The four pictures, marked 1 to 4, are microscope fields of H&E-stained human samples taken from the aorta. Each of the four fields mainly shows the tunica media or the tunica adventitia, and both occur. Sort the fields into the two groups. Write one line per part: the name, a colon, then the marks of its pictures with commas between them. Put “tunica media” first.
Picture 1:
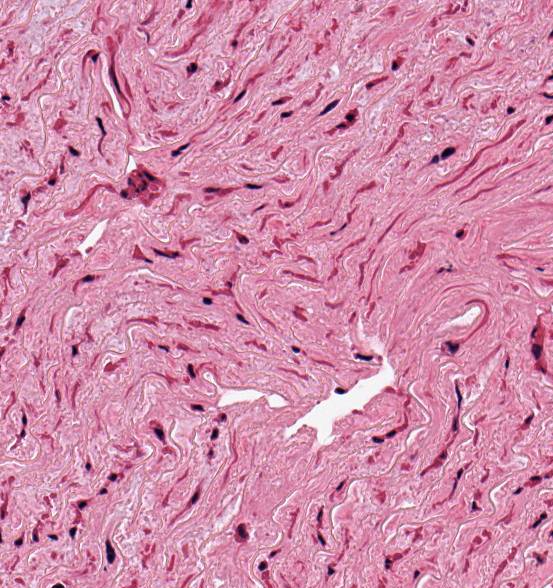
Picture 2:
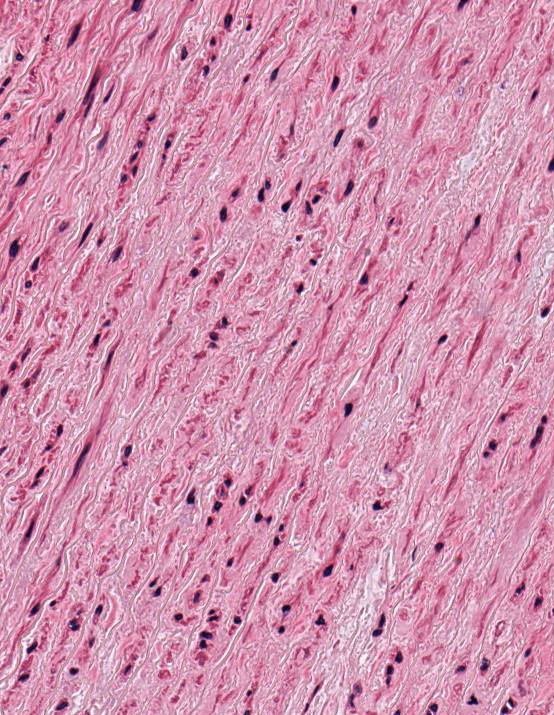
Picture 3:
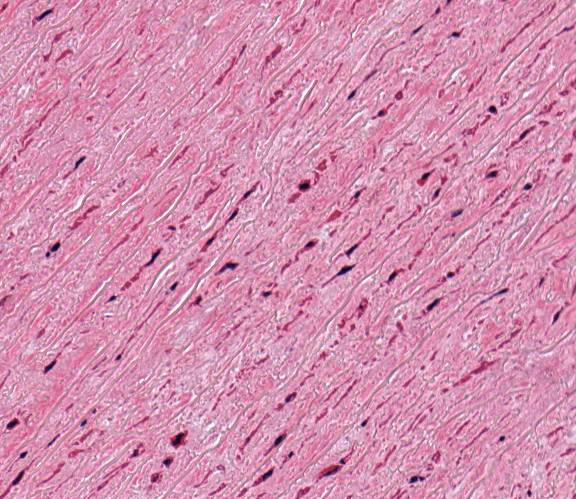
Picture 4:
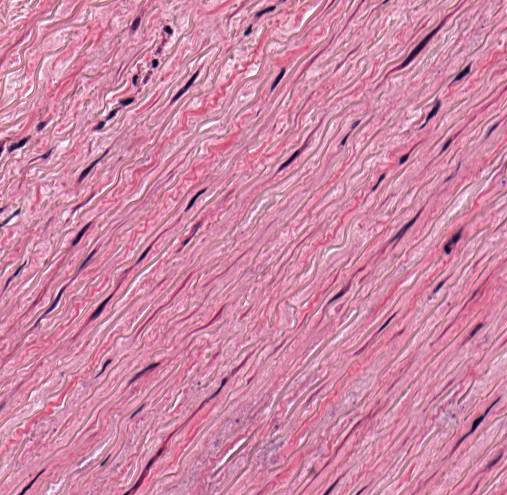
tunica media: 2, 3, 4
tunica adventitia: 1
